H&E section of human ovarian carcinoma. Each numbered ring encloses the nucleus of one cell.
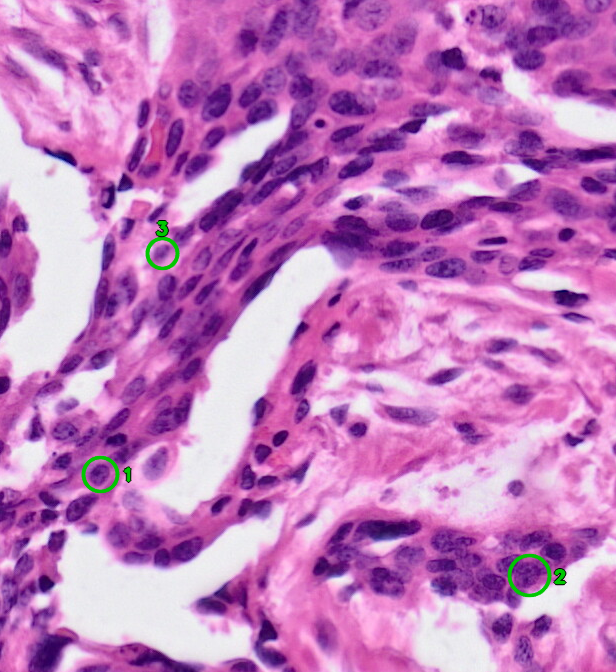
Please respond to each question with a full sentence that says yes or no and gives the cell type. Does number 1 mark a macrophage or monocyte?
Yes, the cell marked by the number 1 is a macrophage or monocyte.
